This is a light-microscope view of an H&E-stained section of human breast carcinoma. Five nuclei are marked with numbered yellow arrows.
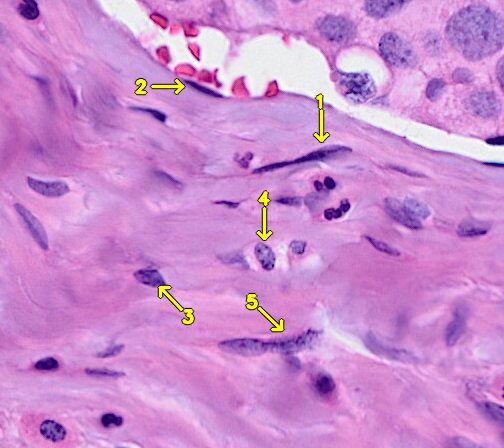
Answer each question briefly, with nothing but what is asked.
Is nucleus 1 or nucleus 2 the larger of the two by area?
1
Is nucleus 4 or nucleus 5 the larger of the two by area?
5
